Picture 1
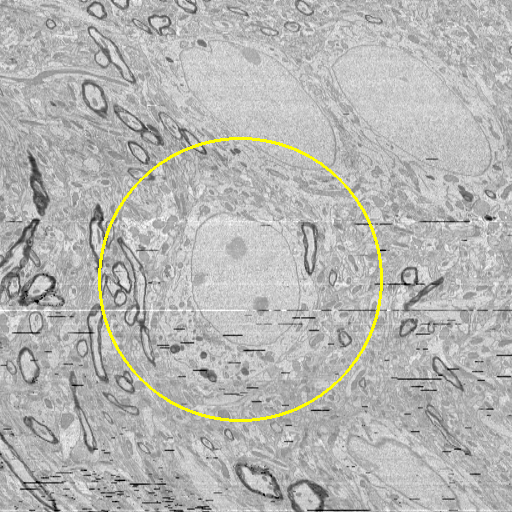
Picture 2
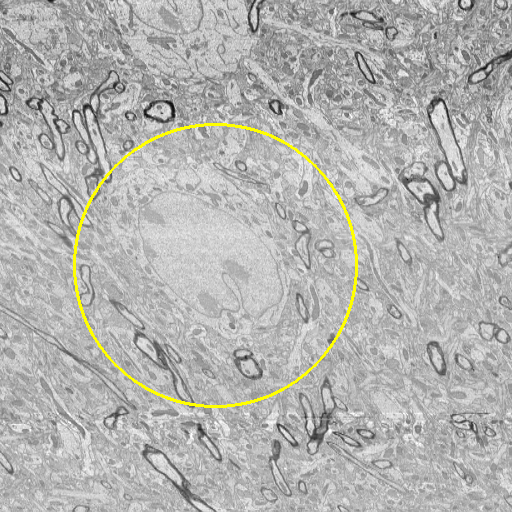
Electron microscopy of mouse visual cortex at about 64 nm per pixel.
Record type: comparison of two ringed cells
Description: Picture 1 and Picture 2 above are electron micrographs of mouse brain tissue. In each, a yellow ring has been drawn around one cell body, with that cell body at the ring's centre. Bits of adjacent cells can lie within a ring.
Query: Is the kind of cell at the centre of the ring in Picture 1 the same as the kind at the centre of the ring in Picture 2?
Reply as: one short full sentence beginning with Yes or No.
Yes, the two ringed cells are of the same kind.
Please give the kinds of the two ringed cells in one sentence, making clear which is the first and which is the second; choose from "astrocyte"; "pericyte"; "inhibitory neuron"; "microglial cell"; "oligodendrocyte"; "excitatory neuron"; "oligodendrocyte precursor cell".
The second cell is an excitatory neuron, just as the first is.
